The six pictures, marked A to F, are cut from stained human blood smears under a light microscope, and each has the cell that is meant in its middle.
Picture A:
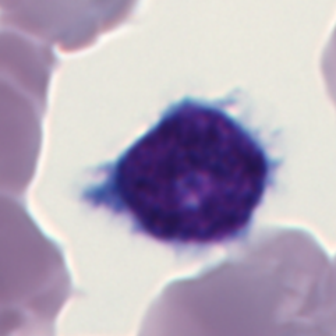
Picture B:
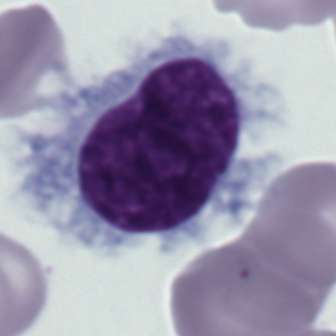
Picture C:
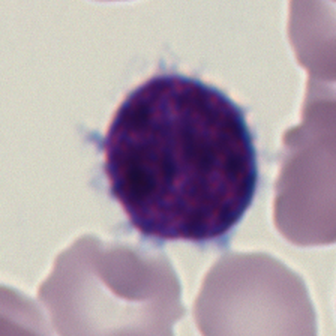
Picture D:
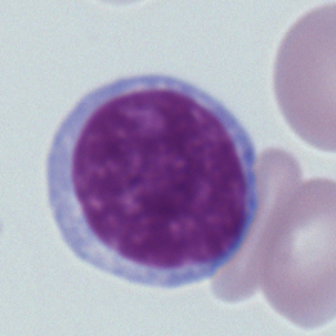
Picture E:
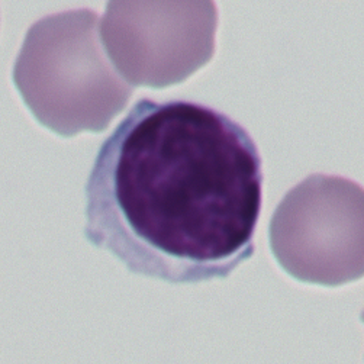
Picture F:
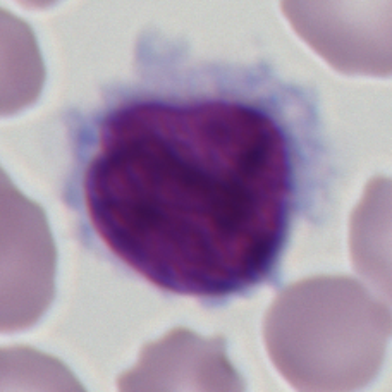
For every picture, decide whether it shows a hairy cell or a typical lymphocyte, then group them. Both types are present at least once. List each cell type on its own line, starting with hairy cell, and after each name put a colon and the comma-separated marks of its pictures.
hairy cell: A, B, C, F
typical lymphocyte: D, E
